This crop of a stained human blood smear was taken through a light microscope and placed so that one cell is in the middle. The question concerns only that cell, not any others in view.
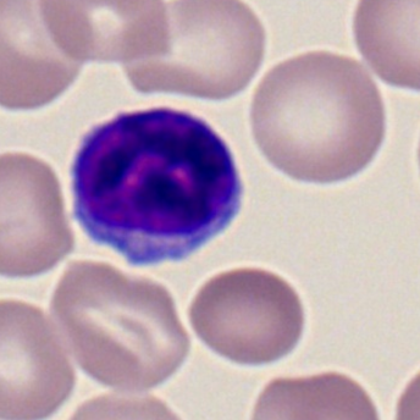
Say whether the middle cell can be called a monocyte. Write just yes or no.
no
